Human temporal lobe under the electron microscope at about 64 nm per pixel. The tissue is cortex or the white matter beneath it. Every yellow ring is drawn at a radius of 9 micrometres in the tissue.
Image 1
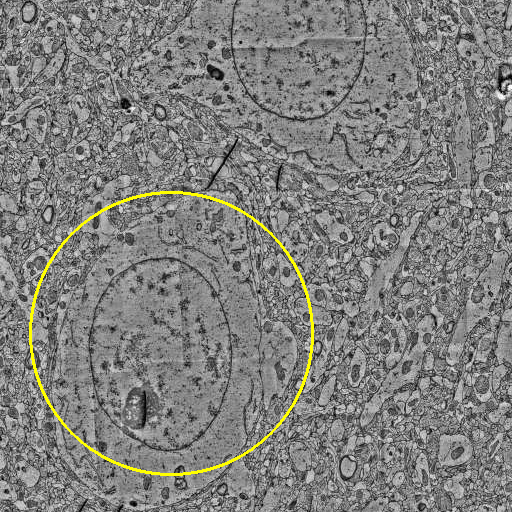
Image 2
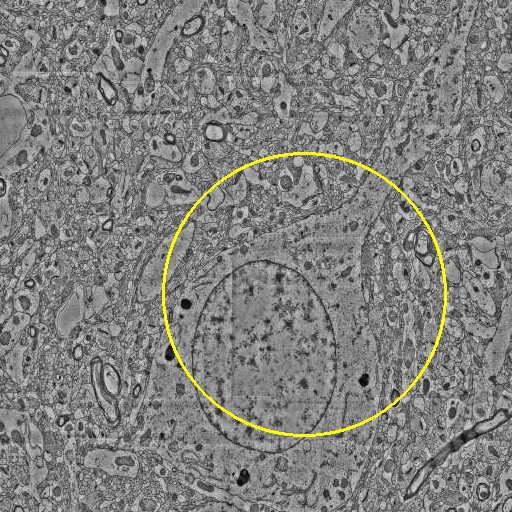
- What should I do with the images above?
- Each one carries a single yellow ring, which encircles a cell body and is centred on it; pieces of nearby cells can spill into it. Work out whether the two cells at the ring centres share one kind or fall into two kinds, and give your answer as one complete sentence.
The ring-centre cells of Image 1 and Image 2 share one kind.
